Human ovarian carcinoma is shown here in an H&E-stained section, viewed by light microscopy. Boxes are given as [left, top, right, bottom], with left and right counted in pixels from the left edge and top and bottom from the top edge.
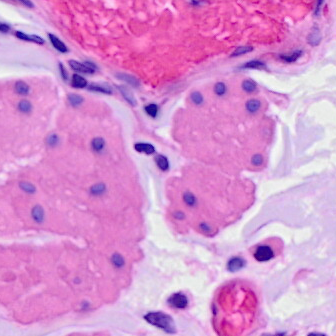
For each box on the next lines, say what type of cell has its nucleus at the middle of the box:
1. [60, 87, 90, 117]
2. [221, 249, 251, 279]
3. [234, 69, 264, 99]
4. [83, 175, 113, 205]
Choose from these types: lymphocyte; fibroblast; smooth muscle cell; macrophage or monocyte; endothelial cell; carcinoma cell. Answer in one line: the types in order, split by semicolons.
smooth muscle cell; lymphocyte; smooth muscle cell; smooth muscle cell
